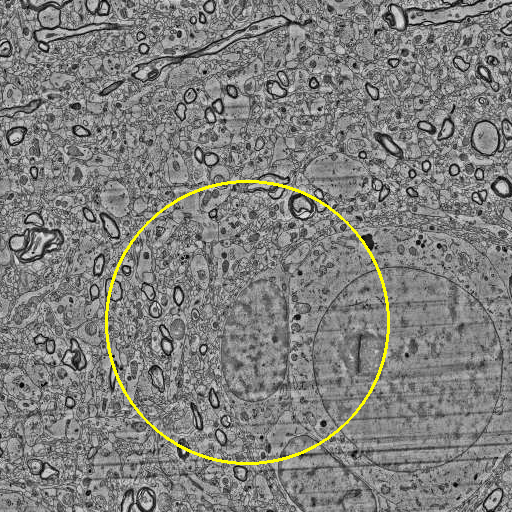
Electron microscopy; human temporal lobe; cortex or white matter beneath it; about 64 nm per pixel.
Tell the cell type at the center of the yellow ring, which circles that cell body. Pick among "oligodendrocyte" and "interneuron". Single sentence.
The ring is centered on the body of an oligodendrocyte.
